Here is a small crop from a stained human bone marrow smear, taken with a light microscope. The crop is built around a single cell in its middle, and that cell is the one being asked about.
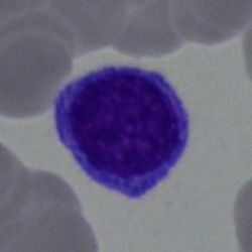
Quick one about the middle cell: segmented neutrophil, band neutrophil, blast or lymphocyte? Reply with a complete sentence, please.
As for the cell in the middle, it is a lymphocyte.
